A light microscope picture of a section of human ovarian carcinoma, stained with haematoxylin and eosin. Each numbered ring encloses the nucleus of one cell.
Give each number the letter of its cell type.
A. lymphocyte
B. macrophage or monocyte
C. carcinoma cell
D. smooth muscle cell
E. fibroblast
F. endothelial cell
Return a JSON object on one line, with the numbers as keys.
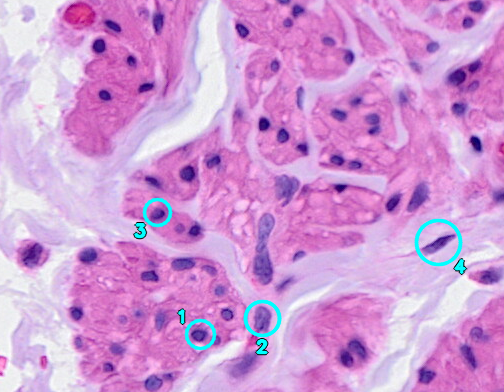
{"1": "D", "2": "F", "3": "D", "4": "E"}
